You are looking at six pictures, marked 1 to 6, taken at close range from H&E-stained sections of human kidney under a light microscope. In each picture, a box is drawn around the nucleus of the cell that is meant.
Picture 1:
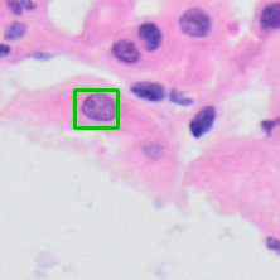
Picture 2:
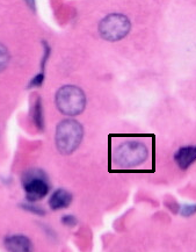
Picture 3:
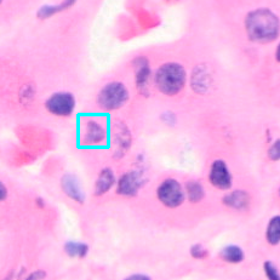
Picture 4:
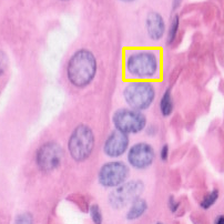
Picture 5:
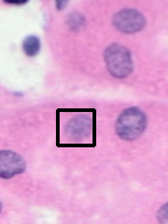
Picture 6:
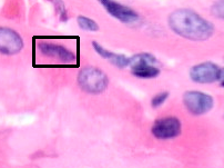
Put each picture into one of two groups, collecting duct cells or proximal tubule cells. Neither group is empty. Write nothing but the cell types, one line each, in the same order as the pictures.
proximal tubule cell
proximal tubule cell
collecting duct cell
collecting duct cell
proximal tubule cell
proximal tubule cell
